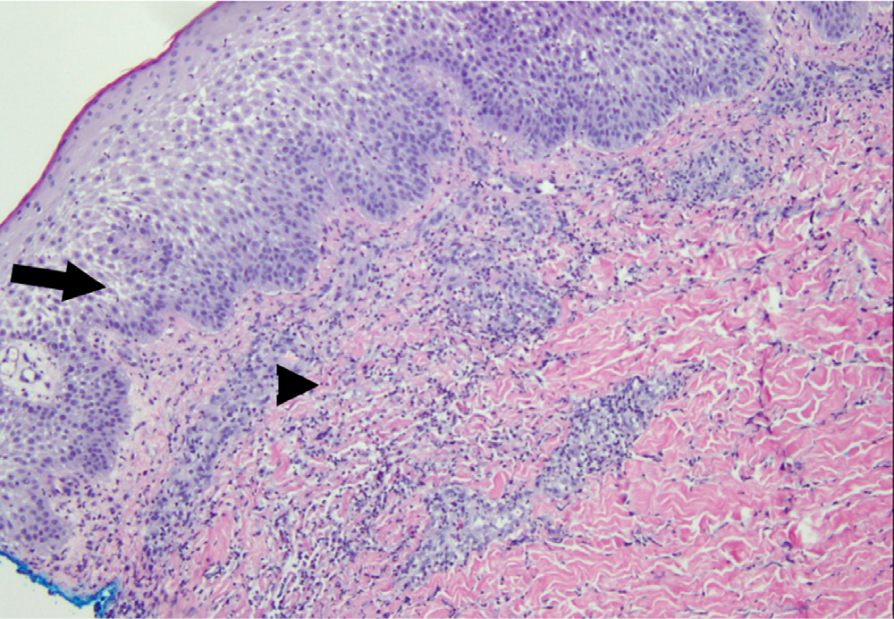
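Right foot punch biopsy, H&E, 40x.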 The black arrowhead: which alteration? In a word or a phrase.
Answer: inflammatory infiltrate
